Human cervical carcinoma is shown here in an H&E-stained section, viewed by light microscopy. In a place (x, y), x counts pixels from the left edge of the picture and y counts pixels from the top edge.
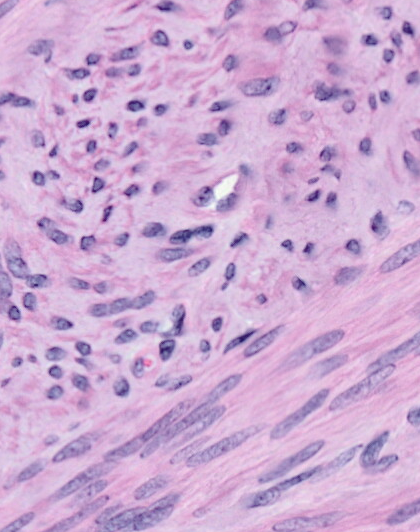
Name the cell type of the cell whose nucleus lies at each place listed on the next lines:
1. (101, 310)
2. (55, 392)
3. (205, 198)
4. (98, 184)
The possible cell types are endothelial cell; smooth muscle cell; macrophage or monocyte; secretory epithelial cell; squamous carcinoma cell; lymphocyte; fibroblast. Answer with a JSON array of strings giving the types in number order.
["smooth muscle cell", "smooth muscle cell", "endothelial cell", "smooth muscle cell"]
